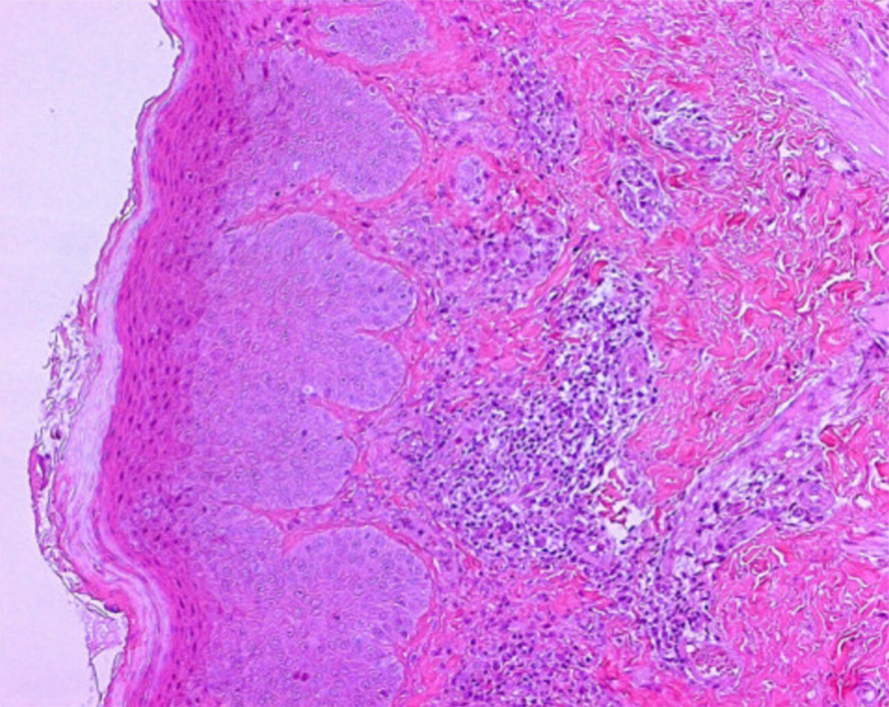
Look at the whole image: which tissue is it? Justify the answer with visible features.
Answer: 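A stratified epithelium runs along the left edge beneath a thin, pale, flaky surface layer. Broad epithelial projections extend down into the pink fibrous tissue on the right.
Epidermal layer.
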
